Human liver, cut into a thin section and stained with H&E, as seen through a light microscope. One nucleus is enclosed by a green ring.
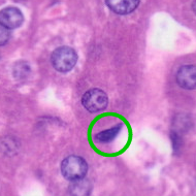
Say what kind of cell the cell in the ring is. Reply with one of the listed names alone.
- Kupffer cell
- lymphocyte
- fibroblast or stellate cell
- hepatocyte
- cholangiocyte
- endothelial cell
fibroblast or stellate cell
